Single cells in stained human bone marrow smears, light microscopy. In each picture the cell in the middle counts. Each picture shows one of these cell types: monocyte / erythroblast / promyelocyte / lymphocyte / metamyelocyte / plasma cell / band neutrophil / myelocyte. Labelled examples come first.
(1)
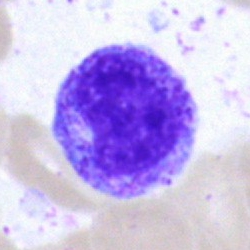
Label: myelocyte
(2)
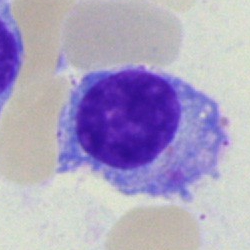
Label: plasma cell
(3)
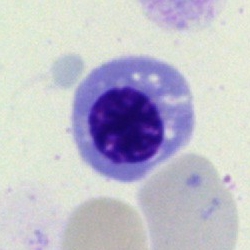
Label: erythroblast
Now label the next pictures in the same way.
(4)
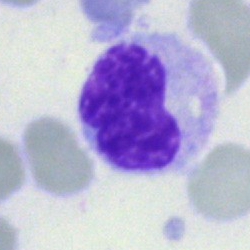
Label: band neutrophil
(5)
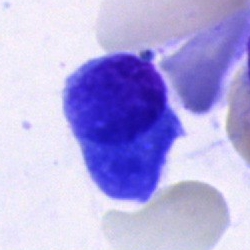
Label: plasma cell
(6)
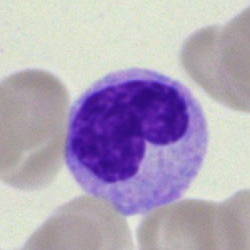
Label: metamyelocyte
